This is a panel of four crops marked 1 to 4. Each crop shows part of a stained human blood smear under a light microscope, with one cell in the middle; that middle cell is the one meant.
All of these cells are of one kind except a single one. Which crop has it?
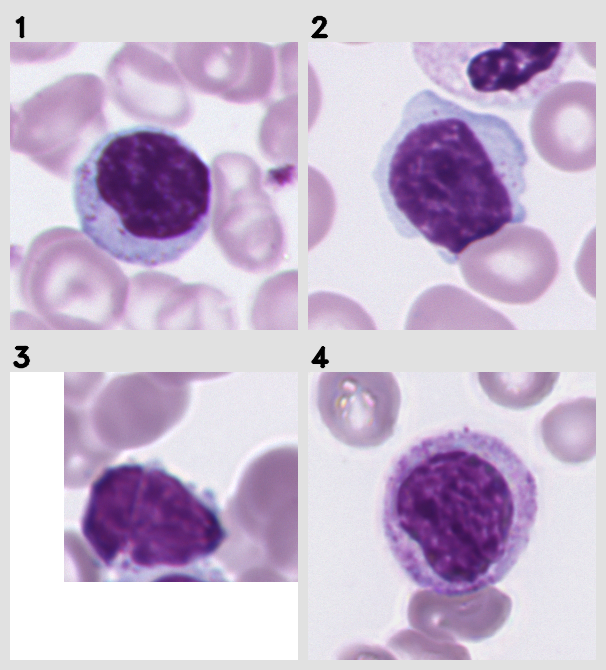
4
